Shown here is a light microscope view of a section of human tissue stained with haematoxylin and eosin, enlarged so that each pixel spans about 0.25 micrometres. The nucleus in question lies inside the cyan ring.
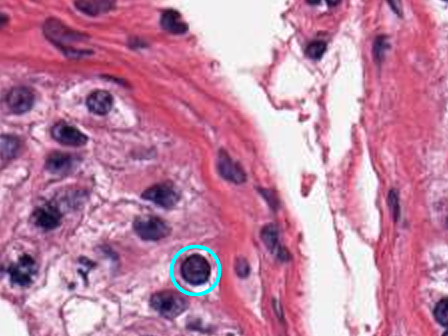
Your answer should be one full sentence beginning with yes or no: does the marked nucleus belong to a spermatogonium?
Yes, the marked nucleus lies within a spermatogonium.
